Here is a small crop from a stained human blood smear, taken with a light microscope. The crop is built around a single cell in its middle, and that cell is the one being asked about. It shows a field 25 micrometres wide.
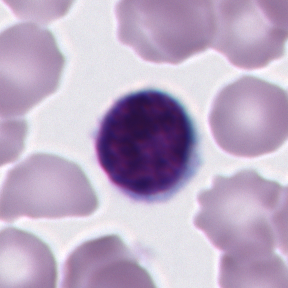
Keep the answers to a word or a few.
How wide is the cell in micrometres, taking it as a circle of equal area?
10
